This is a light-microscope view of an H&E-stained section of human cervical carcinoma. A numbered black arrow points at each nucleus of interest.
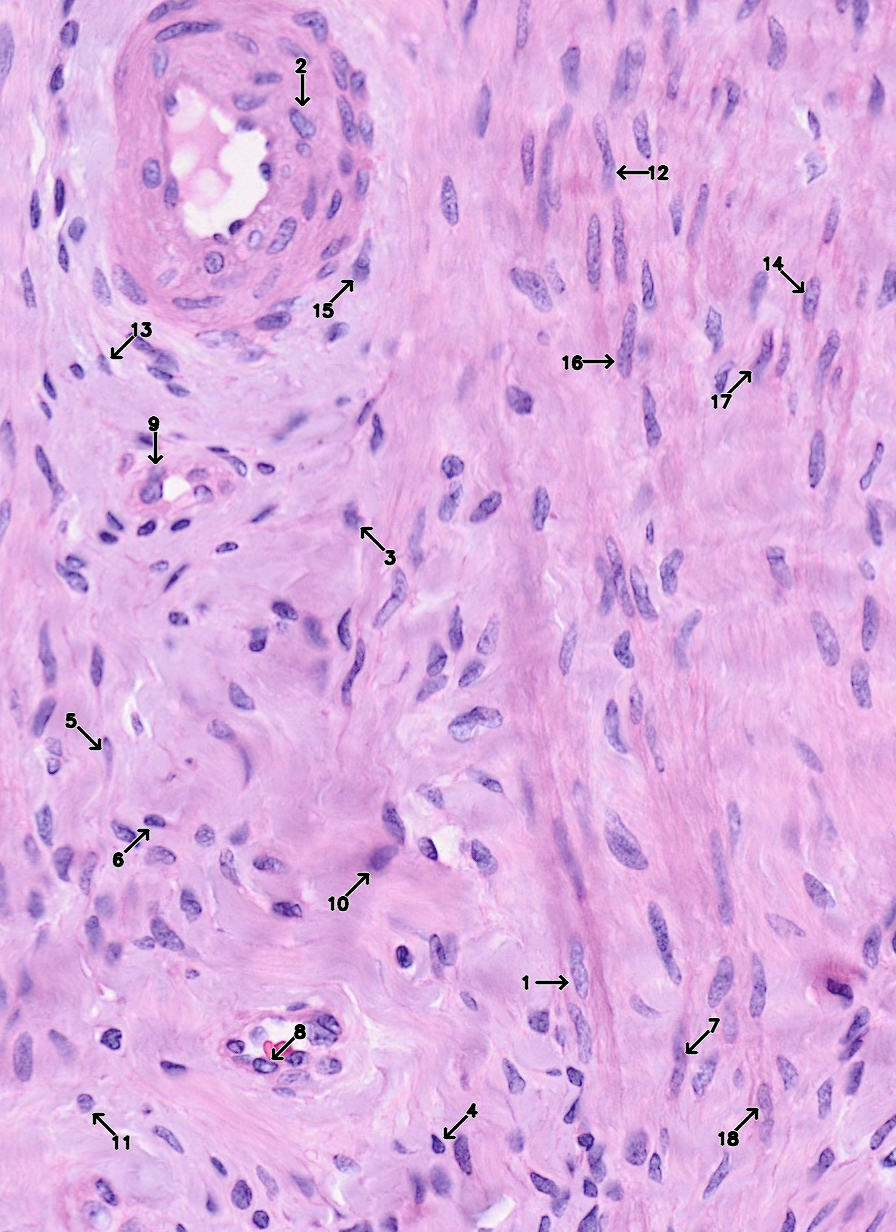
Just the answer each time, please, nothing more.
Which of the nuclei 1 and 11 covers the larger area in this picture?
1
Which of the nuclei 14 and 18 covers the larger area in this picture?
14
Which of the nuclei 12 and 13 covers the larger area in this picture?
12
